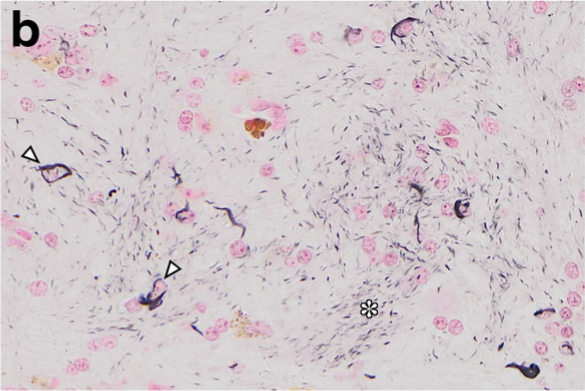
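Pink round nuclei lie loosely spread in a pale background crossed by many fine, short black threads. A small clump of brown pigment sits near the upper left.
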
